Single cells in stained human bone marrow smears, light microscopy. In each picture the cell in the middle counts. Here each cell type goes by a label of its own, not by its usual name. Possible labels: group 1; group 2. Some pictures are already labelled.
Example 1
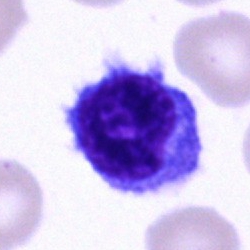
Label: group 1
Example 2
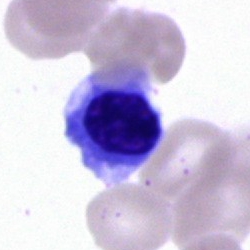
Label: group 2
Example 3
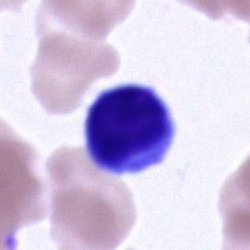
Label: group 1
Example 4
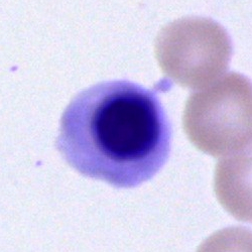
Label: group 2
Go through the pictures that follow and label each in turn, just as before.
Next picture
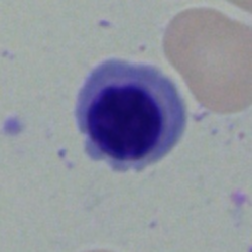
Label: group 2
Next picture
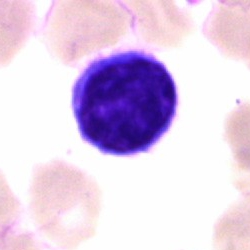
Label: group 1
